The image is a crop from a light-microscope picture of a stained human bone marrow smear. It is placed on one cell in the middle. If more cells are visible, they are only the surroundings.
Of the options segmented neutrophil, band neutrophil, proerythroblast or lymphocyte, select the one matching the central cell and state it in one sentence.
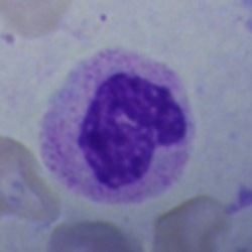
The central cell shown in this smear crop is a band neutrophil.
